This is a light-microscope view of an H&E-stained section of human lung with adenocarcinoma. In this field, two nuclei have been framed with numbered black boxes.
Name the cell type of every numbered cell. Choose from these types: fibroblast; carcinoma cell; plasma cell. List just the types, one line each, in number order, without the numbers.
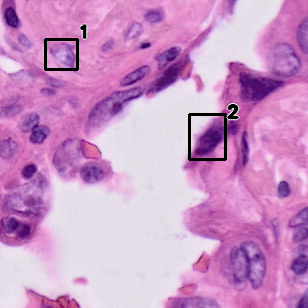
fibroblast
carcinoma cell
